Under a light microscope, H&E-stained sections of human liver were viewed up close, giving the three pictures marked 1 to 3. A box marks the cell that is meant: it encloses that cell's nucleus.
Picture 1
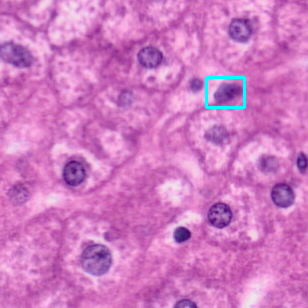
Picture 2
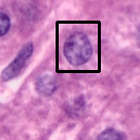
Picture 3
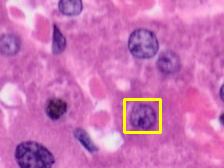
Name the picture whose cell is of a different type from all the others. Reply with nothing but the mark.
1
